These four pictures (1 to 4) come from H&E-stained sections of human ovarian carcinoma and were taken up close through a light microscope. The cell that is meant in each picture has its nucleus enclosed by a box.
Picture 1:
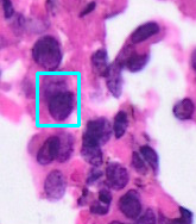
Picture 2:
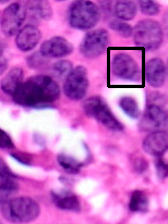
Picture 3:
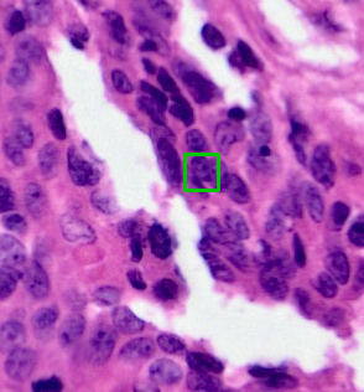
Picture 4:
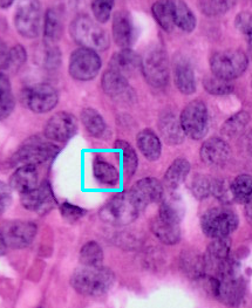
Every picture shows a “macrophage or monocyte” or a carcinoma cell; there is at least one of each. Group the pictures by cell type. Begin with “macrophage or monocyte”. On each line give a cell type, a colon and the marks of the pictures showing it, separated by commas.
macrophage or monocyte: 4
carcinoma cell: 1, 2, 3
